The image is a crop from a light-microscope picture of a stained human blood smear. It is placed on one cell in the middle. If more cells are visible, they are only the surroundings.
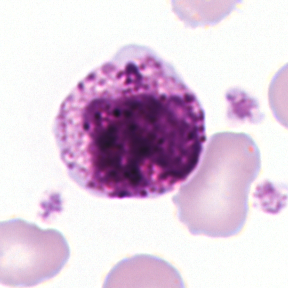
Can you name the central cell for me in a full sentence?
The cell at the heart of this crop is a basophil.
